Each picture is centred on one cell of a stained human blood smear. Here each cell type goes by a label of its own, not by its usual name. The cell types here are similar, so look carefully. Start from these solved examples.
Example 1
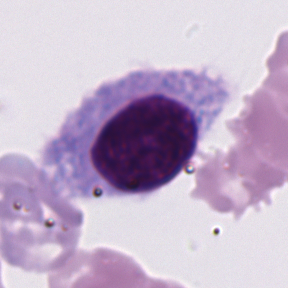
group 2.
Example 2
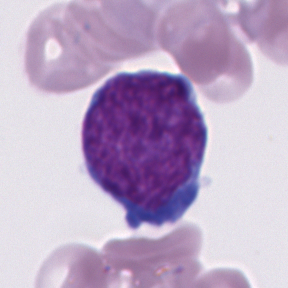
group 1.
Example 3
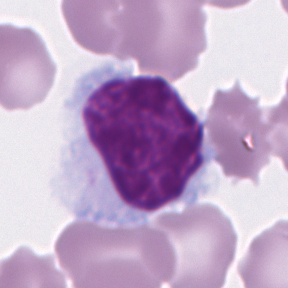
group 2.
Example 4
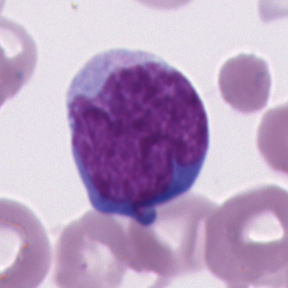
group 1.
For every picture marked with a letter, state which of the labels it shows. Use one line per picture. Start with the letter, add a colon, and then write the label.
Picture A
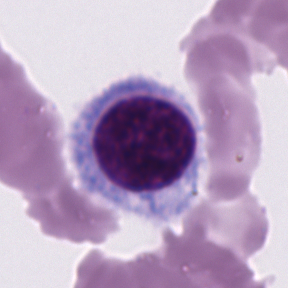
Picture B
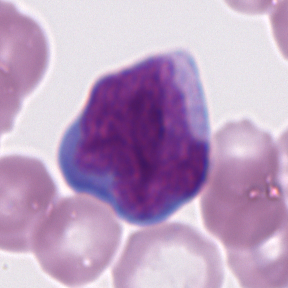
A: group 2.
B: group 1.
